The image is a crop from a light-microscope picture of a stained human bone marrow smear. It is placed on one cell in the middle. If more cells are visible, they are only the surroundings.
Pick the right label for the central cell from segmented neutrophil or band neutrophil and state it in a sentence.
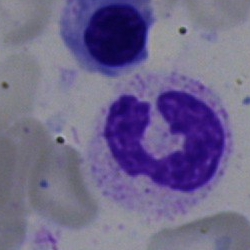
The central element of this crop is a cell, namely a segmented neutrophil.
